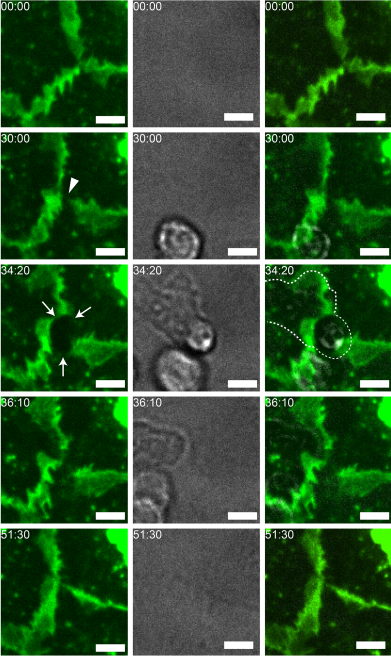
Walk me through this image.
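This is a sheet of endothelial cells seen from above, with the borders between neighbouring cells drawn as bright green lines that are jagged and finger-like along their edges. In the brightfield frames a small, rounded white blood cell with a lobed, granular interior arrives on the sheet and sits over a junction. Where it sits, a small break appears in the green border, then a round dark opening in the green line directly beneath the cell while part of it spreads flat. In the last frames the cell is gone from view and the green border is continuous again, closed over the spot where the opening had been.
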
